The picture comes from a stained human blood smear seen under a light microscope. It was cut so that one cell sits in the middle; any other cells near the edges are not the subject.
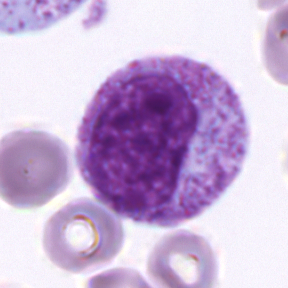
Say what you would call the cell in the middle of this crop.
myelocyte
